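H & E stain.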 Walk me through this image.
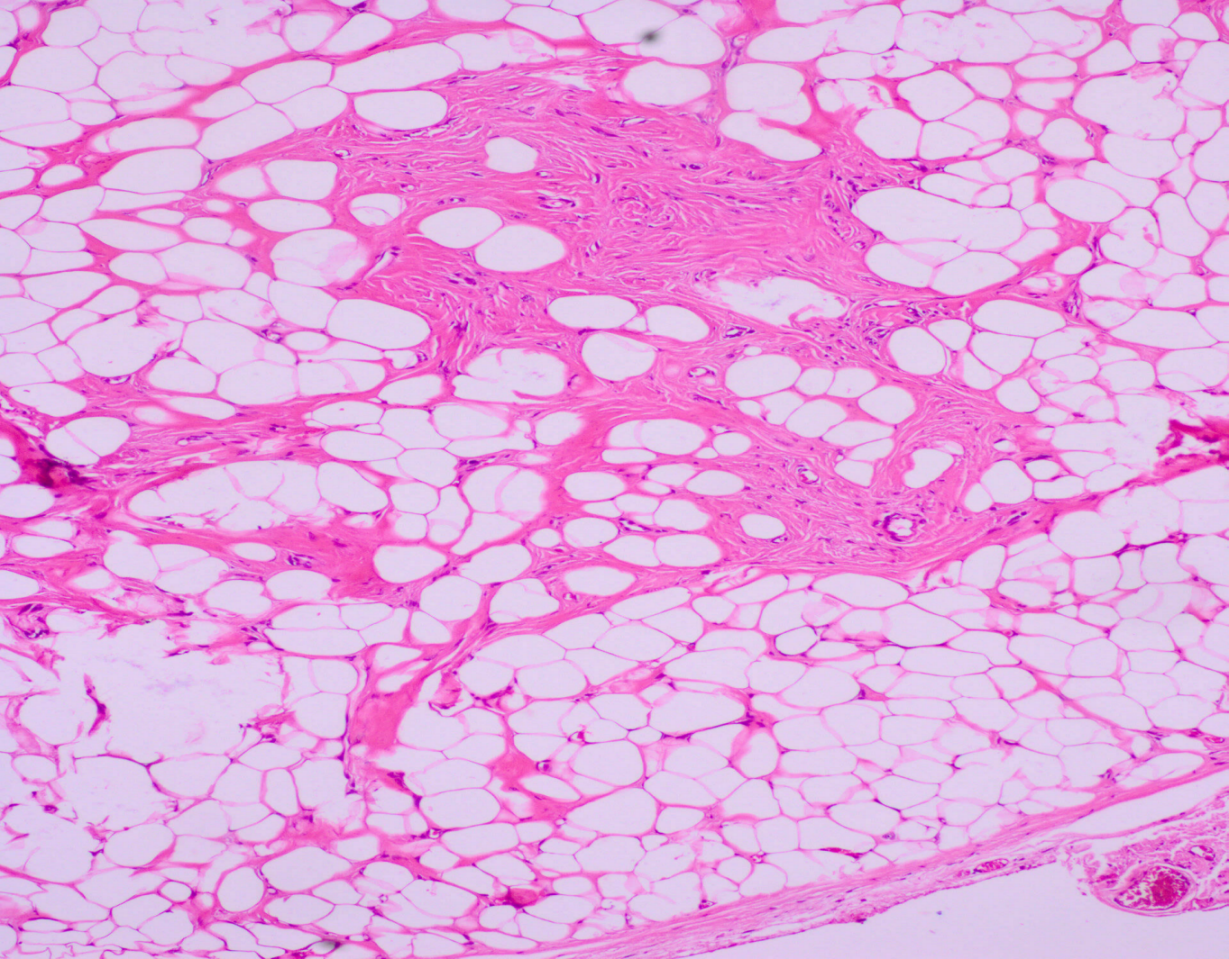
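Adipose tissue made of sheets of large mature adipocytes, each a single clear vacuole bounded by a thin pink membrane, with small flattened nuclei pressed to the edge. A broad band of pink collagenous fibrous tissue crosses the upper middle of the field. Scattered spindle nuclei and small vessels lie within this band. Along the lower right edge runs a thin fibrous rim, with a vessel filled with red blood cells at the corner.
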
